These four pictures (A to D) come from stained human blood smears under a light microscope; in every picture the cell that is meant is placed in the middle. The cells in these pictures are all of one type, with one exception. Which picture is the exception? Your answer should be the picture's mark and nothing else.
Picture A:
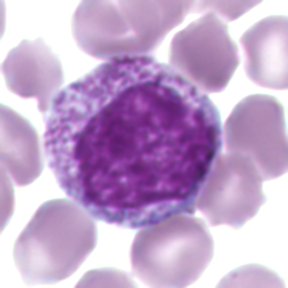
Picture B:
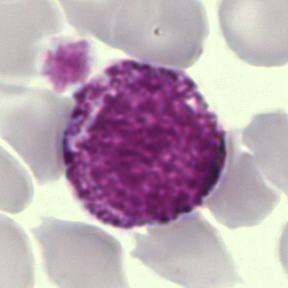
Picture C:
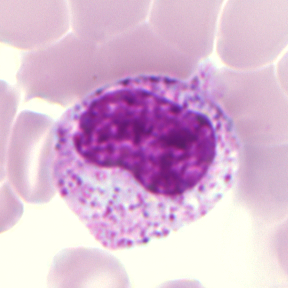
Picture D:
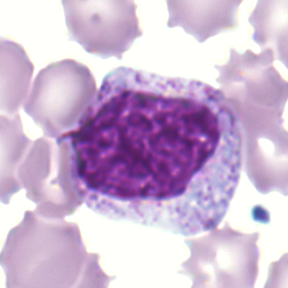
C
